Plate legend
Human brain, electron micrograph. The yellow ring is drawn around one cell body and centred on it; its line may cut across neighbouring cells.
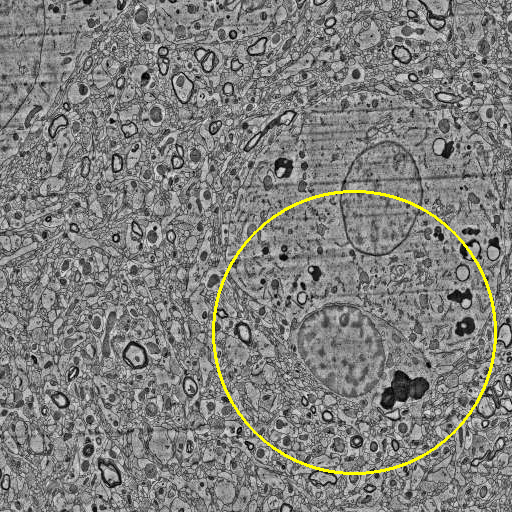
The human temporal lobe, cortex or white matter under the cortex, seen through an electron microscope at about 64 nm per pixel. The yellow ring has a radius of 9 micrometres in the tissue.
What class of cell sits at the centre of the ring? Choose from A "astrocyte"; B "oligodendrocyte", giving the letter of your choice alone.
B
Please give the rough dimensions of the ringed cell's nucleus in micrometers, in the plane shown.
In this plane, the nucleus is roughly 6 by 5 micrometres.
